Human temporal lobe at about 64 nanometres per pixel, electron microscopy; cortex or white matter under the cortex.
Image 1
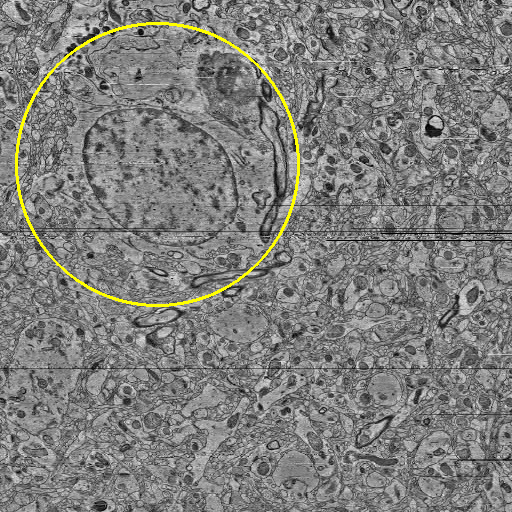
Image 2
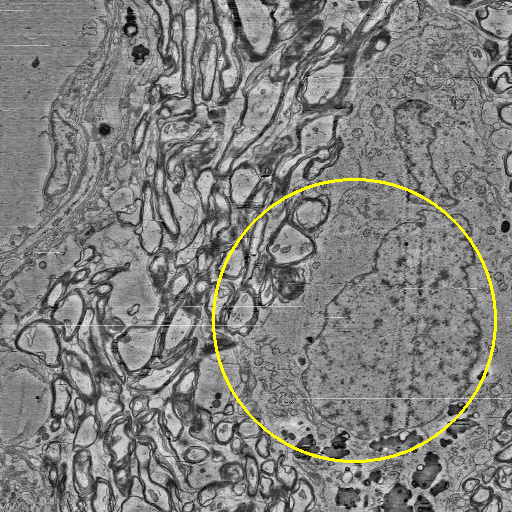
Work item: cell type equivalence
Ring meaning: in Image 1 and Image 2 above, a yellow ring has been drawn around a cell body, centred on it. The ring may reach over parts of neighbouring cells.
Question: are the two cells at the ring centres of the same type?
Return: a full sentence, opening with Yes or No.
No, the two centred cells are of two types.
